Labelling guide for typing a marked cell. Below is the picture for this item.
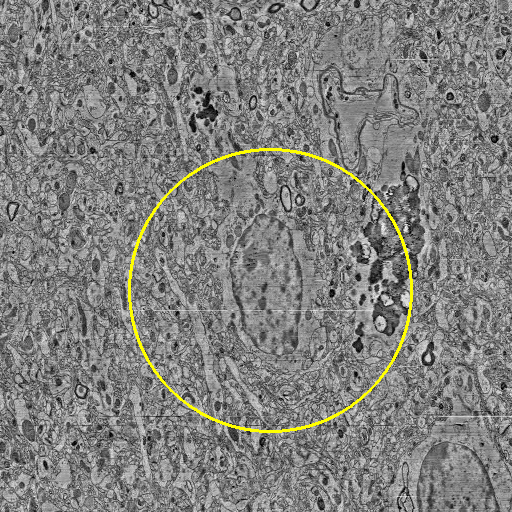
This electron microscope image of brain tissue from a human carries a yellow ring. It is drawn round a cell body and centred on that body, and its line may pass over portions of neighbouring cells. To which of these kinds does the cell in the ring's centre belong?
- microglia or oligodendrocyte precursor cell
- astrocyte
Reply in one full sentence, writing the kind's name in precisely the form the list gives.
Here we have an astrocyte at the centre of the yellow ring in the picture.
